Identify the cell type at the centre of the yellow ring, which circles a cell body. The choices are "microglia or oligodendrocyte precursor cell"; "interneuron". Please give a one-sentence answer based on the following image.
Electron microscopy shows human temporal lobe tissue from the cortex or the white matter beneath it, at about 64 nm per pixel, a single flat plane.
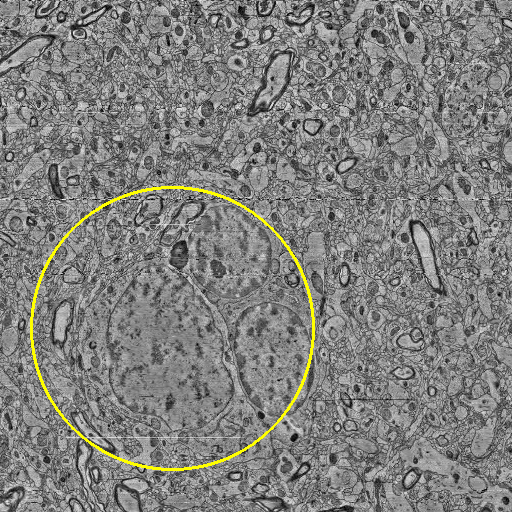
The cell marked by the ring is an interneuron.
